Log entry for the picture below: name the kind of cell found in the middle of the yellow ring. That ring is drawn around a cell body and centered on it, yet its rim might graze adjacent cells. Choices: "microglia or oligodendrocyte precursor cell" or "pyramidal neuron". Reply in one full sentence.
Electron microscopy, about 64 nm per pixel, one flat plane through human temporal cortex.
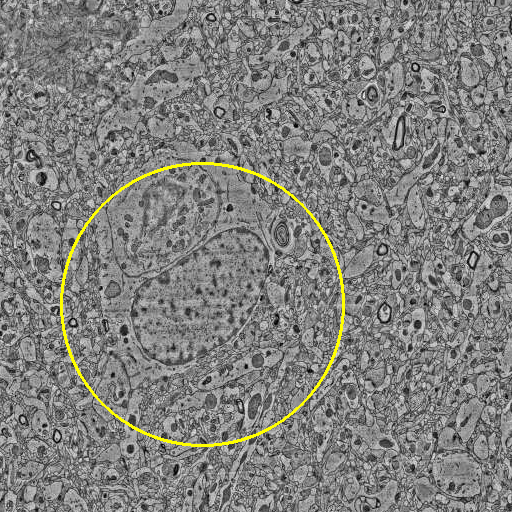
The cell in the middle of the yellow ring in this picture is a microglial cell or oligodendrocyte precursor cell.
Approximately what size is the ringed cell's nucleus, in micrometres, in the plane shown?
Clearly longer than it is wide in this plane, the nucleus measures roughly 10 by 6 micrometres.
